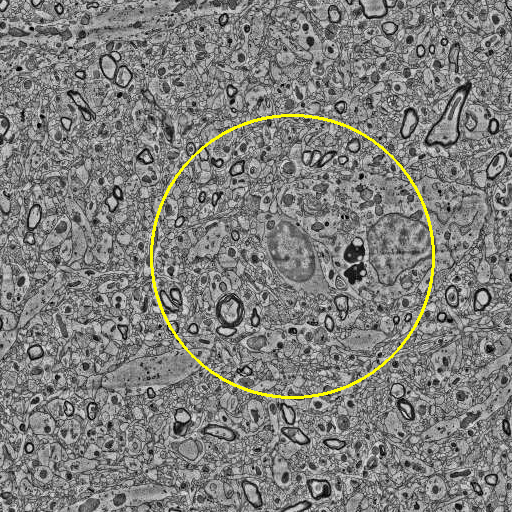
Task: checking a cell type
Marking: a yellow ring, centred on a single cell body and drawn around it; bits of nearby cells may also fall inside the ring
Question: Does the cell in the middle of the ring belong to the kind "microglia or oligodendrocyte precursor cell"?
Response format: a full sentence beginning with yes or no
No, the cell marked at the ring's centre in the picture is of a different kind.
